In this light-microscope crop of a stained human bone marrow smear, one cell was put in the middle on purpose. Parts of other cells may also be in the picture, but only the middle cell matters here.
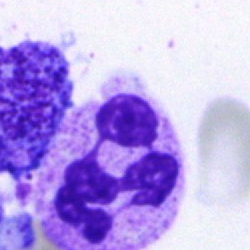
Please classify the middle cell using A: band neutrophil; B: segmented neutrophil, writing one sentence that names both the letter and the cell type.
In this crop the central cell is a segmented neutrophil, which option B correctly states.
